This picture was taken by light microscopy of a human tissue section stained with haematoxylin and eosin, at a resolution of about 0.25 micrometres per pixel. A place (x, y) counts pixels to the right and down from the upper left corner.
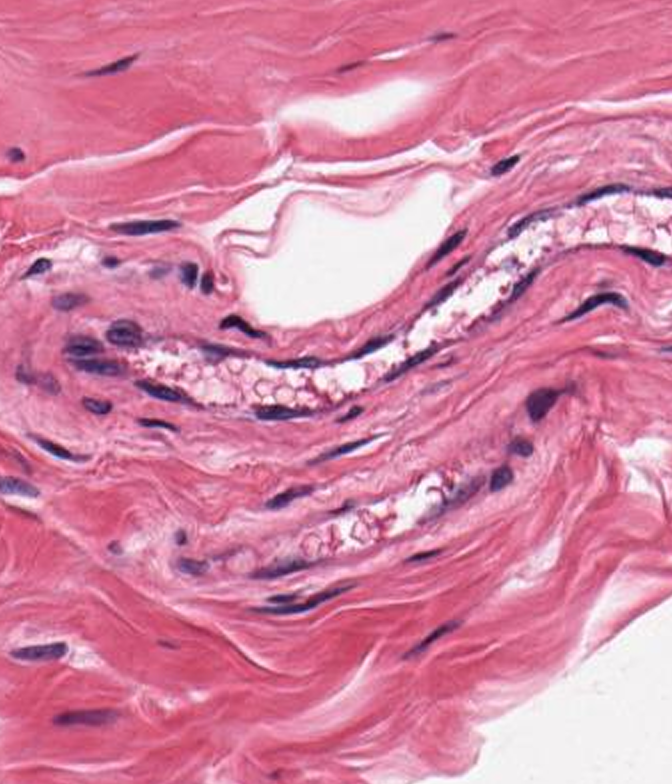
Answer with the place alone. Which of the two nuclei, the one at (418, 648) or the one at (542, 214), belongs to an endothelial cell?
(542, 214)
